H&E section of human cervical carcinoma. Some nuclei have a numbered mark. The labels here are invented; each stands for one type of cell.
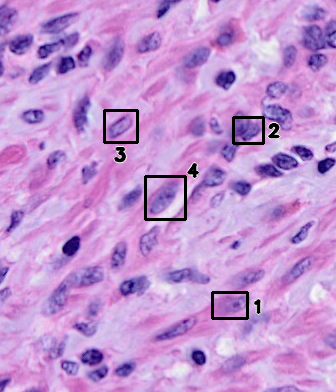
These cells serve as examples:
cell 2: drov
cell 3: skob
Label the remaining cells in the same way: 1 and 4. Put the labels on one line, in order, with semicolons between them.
skob; drov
